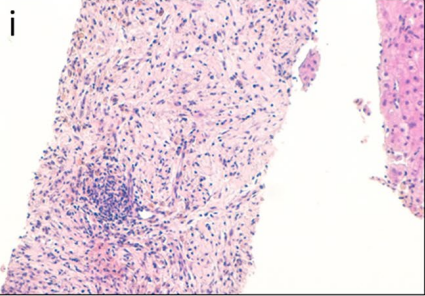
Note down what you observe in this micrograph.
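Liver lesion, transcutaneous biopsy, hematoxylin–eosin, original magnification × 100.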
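The spindle cells have elongated, slender purple nuclei and lie in loose, partly crossing streams. Small round, dark-blue nuclei of inflammatory cells are scattered throughout among the spindle cells. In the lower left of the core these round cells gather into a dense focal cluster. A separate narrow strip of pink tissue lies at the right edge of the field, apart from the main core.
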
